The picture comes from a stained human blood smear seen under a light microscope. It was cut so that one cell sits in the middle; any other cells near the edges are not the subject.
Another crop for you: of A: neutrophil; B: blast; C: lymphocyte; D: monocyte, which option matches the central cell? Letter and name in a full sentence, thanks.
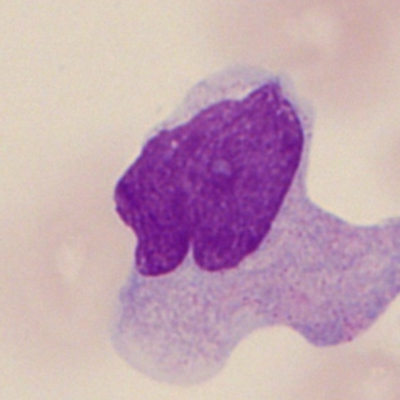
Option D gives the correct identity of the central cell, namely a monocyte.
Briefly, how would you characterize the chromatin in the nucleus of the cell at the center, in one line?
The chromatin is fine; coarse clumps are not a feature here.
